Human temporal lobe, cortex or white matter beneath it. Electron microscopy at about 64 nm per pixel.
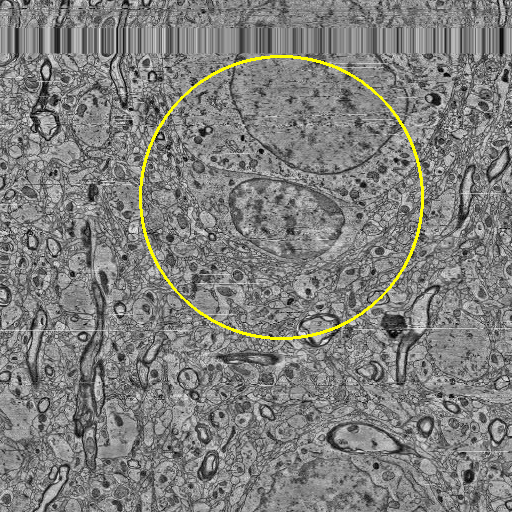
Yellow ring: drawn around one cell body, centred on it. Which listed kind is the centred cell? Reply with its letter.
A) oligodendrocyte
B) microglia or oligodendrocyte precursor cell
A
